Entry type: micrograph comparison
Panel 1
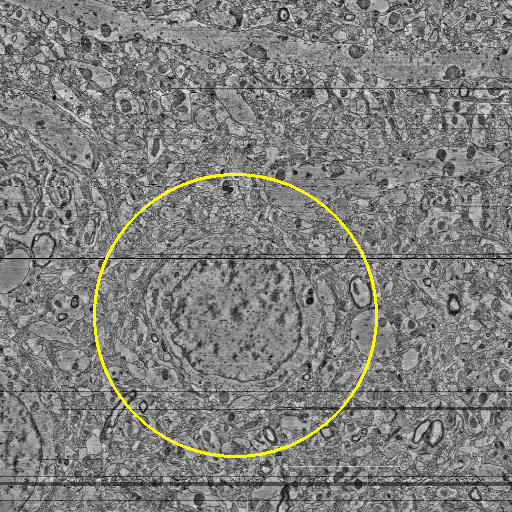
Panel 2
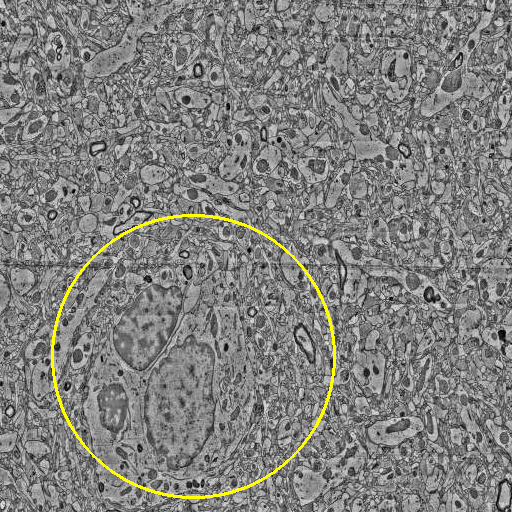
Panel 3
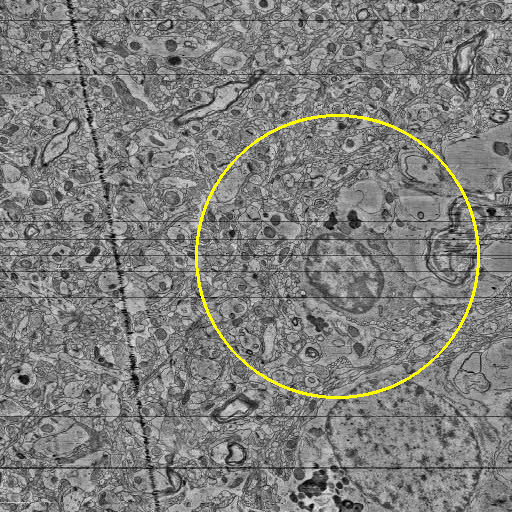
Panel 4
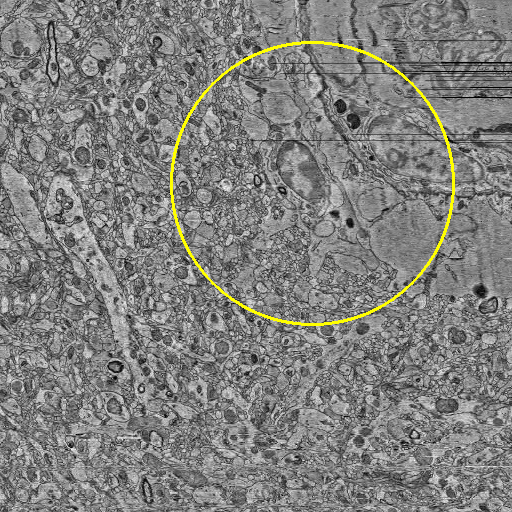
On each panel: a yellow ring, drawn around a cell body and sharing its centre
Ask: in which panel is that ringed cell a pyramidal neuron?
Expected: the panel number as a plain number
1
